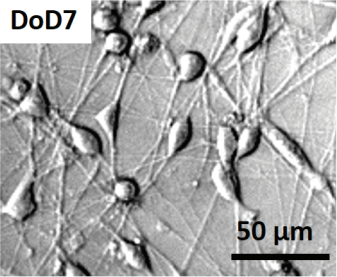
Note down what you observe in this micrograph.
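From each body one or more long, thin, unbranched-looking processes run out, and these processes from many cells cross and overlap to form a dense meshwork across the whole field. Some cell bodies sit at points where several processes meet, and fine processes run in straight lines between distant cells. No flat, spread non-neuronal cells stand out.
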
